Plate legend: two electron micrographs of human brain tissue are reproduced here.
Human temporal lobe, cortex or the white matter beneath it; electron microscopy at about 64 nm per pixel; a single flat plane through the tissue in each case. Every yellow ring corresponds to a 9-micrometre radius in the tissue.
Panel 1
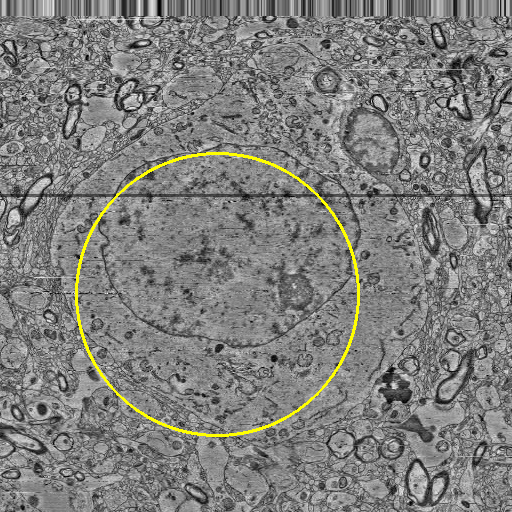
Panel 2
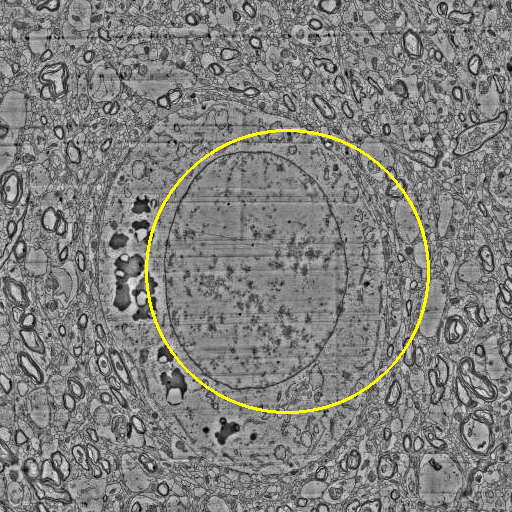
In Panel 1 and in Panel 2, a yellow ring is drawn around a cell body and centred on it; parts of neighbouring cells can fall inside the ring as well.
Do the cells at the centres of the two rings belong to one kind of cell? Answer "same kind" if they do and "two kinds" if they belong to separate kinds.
same kind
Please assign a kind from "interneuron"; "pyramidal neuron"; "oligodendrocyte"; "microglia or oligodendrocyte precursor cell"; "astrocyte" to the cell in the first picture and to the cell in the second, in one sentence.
The first and the second cell are each a pyramidal neuron.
